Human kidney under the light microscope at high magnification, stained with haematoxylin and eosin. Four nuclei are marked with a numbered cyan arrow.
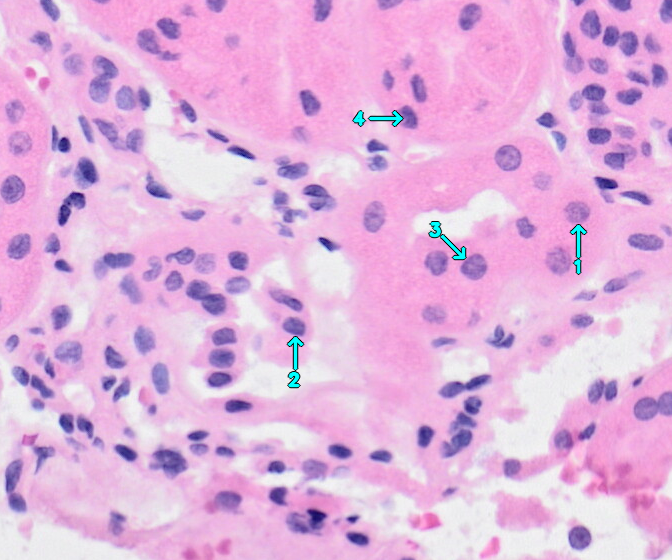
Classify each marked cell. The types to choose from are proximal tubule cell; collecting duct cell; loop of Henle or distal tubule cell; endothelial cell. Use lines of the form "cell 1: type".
cell 1: proximal tubule cell
cell 2: collecting duct cell
cell 3: proximal tubule cell
cell 4: proximal tubule cell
